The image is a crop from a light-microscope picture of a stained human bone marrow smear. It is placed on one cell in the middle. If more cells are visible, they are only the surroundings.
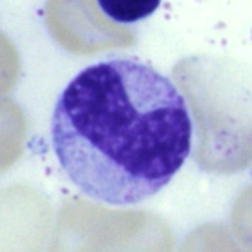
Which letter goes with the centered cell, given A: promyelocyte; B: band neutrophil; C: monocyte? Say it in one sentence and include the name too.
Option B is the keyed answer: the cell in the middle is a band neutrophil.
